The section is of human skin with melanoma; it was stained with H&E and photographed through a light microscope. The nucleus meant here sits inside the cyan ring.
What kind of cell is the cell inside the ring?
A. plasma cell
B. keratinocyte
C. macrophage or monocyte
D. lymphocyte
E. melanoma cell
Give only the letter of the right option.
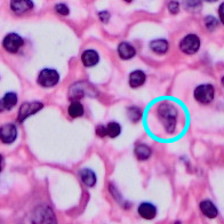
C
